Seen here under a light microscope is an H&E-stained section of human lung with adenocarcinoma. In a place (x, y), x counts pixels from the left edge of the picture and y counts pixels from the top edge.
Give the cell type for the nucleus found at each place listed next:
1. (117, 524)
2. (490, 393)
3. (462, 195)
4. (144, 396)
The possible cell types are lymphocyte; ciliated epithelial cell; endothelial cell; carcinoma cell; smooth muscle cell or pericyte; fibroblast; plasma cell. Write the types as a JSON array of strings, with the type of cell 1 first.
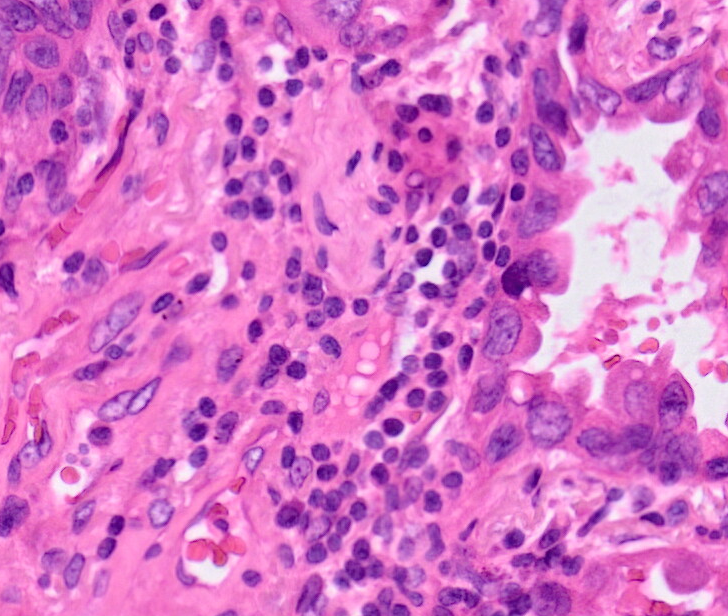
["lymphocyte", "carcinoma cell", "lymphocyte", "endothelial cell"]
